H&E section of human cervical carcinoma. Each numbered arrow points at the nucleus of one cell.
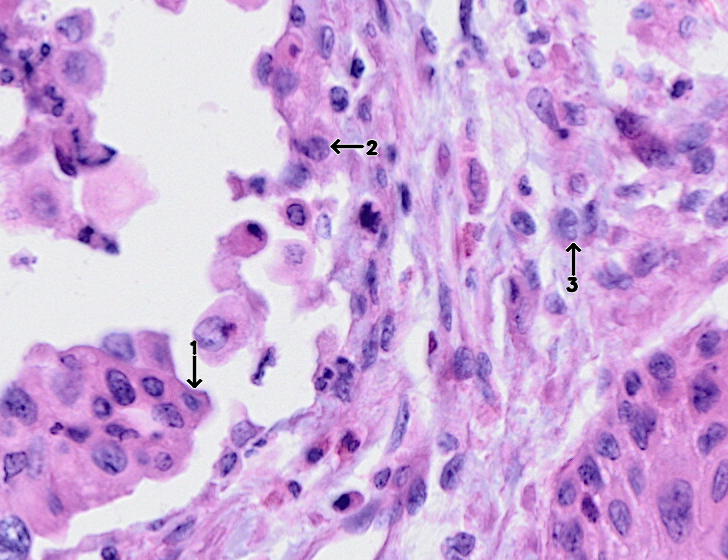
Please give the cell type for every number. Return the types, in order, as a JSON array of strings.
["squamous carcinoma cell", "macrophage or monocyte", "fibroblast"]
